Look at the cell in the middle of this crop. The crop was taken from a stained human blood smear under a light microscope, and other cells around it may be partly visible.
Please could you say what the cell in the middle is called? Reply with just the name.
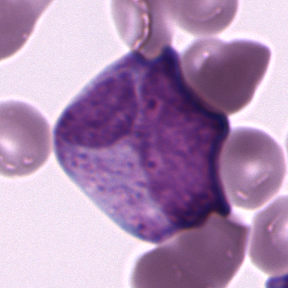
atypical promyelocyte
